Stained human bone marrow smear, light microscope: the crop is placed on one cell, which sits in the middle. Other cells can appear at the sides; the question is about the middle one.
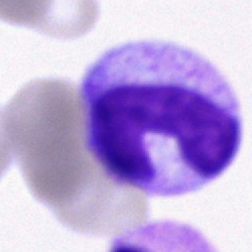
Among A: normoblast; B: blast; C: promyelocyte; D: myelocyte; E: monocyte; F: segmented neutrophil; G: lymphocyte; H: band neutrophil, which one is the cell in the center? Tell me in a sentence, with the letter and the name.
The centrally positioned cell is a band neutrophil, consistent with option H, which is correct.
